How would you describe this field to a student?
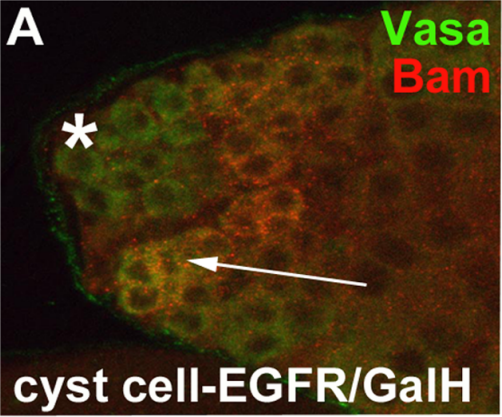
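The cells are round, with dark, unstained nuclei surrounded by a rim of green cytoplasm, packed closely in a rounded end. Near the tip, marked by the asterisk, lie a few cells with green only. A little further away, a cluster of germ cells also carries fine red dots, giving them a yellow-orange tone; these lie in a group below and behind the tip. Further back the cells are larger and paler. Green dots also line the outer surface of the organ.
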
